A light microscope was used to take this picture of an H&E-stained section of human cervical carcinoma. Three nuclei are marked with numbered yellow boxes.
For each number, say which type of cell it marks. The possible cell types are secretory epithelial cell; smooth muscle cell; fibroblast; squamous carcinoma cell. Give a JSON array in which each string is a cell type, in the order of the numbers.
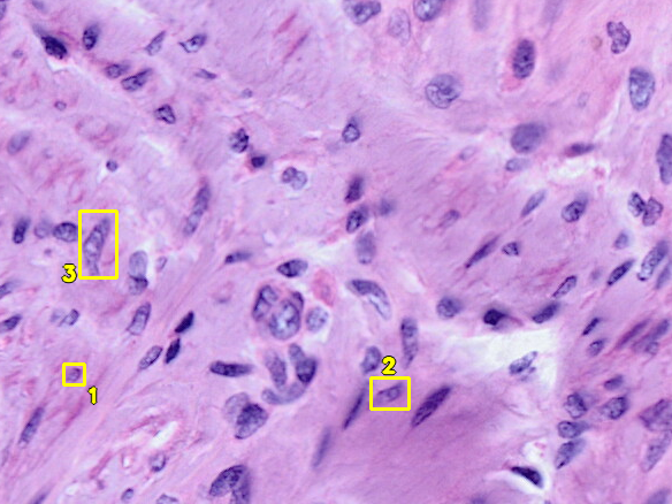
["smooth muscle cell", "fibroblast", "smooth muscle cell"]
